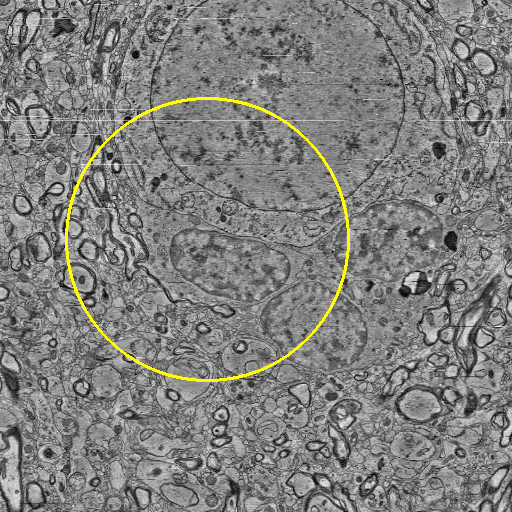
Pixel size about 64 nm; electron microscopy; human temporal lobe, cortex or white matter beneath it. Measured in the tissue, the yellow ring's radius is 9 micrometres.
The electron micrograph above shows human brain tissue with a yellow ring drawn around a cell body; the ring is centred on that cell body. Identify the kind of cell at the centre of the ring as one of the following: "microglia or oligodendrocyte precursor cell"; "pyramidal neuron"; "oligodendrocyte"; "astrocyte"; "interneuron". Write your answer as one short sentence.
The cell at the centre of the ring is an oligodendrocyte.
